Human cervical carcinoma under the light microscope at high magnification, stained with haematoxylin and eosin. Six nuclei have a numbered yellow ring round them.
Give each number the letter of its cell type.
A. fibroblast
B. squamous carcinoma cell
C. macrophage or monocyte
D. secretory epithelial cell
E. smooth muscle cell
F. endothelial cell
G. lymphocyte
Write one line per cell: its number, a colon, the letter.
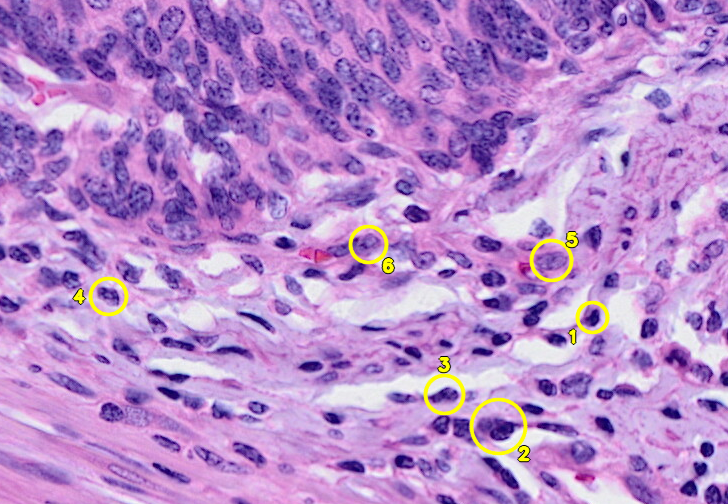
1: G
2: G
3: G
4: G
5: F
6: F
